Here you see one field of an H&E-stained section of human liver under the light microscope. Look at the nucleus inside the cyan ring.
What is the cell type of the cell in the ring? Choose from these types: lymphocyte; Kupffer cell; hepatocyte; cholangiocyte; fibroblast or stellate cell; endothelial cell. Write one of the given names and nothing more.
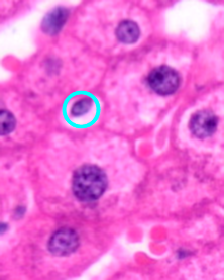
Kupffer cell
